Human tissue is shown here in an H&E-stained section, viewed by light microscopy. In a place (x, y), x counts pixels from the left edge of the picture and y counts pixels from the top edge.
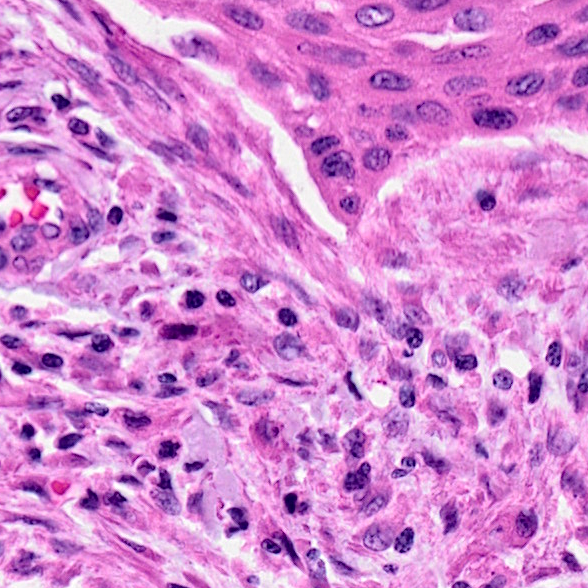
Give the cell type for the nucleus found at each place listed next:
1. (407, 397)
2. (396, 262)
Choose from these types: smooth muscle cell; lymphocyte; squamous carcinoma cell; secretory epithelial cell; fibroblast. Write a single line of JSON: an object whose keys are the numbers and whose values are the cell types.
{"1": "lymphocyte", "2": "fibroblast"}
